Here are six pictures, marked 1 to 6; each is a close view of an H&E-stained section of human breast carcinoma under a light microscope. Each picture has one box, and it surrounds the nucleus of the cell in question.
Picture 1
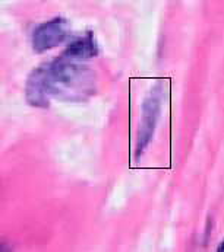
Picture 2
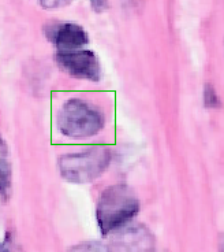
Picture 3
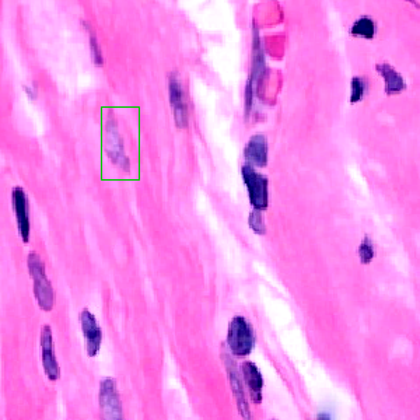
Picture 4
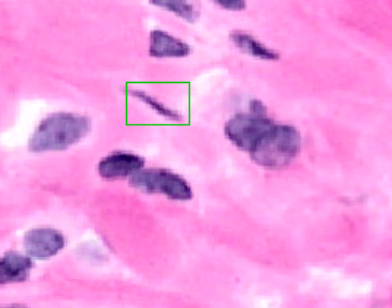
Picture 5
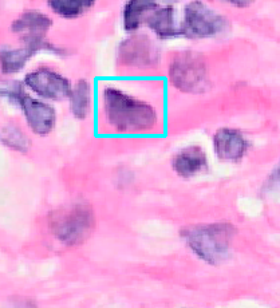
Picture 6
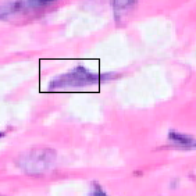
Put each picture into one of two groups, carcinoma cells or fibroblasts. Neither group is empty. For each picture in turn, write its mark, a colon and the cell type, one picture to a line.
1: fibroblast
2: carcinoma cell
3: fibroblast
4: fibroblast
5: carcinoma cell
6: fibroblast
